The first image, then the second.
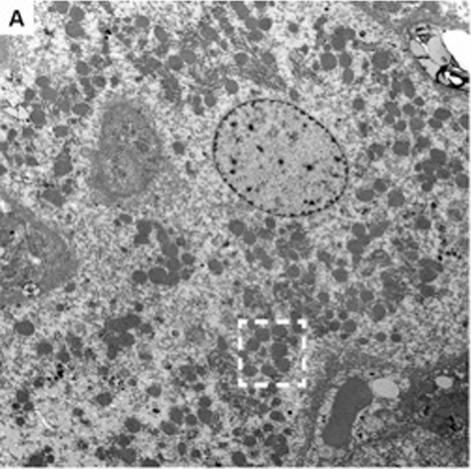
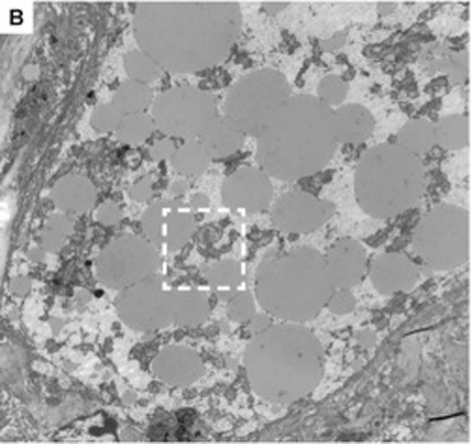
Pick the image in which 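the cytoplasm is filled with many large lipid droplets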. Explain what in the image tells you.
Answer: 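The second image. Second image: numerous large round pale-grey homogeneous droplets crowd the cytoplasm. First image: the cytoplasm holds many small dark oval organelles and a nucleus, without large pale droplets.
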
